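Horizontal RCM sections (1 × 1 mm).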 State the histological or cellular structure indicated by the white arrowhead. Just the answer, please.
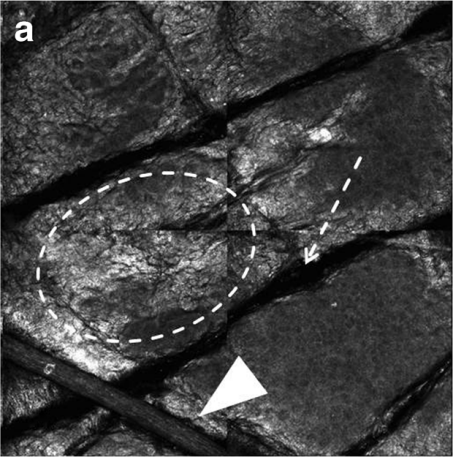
hair shaft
